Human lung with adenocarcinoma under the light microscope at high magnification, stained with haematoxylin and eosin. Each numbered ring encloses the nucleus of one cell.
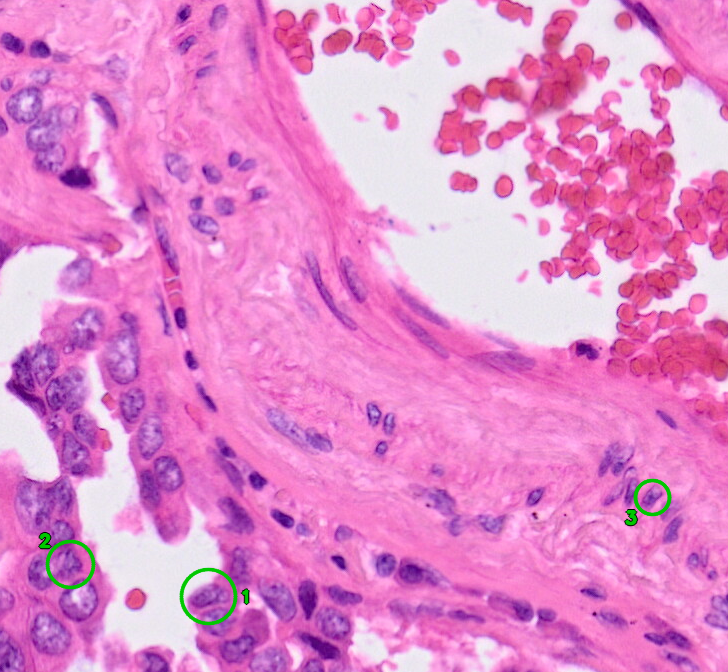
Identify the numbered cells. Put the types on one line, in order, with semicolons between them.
carcinoma cell; carcinoma cell; smooth muscle cell or pericyte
